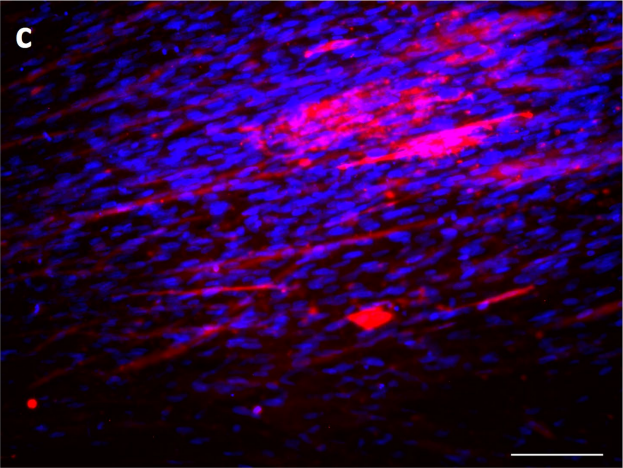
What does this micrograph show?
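Blue nuclei are elongated and oval, crowded closely, and aligned in parallel, running diagonally from lower left toward upper right. Red signal appears as long thin streaks parallel to the nuclei and as a brighter patchy area in the upper centre. Red streaks are far fewer than nuclei, so only a part of the cells carries the red stain. Overall arrangement is strongly aligned, resembling an oriented sheet of spindle-shaped cells.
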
